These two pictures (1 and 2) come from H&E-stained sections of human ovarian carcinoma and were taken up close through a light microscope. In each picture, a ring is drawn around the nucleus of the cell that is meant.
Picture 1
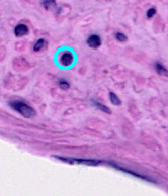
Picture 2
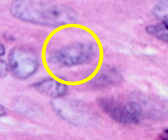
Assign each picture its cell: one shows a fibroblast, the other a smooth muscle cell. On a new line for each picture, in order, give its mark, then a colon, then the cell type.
1: smooth muscle cell
2: fibroblast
